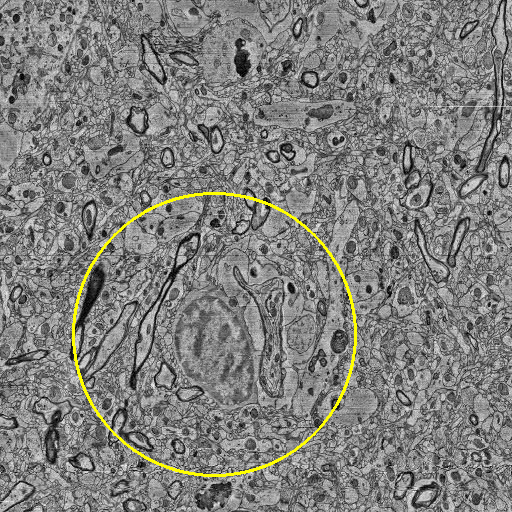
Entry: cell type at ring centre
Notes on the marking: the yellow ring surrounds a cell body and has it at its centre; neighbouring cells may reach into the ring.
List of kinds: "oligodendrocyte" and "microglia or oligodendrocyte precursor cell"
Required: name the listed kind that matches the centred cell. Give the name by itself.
oligodendrocyte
